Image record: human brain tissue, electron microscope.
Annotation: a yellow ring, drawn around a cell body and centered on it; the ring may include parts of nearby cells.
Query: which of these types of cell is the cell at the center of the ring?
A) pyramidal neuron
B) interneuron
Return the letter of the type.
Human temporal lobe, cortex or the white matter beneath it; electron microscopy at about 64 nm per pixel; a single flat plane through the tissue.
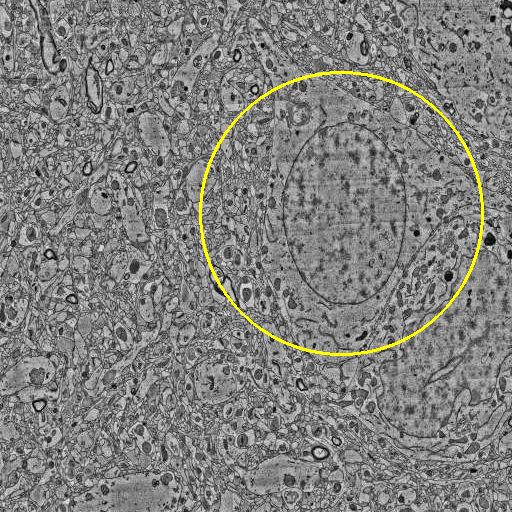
A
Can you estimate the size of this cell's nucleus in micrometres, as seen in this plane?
Approximately 12 by 8 micrometers in this plane.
